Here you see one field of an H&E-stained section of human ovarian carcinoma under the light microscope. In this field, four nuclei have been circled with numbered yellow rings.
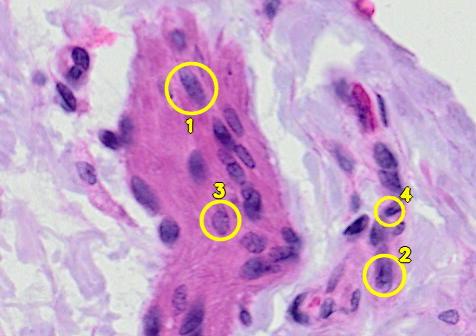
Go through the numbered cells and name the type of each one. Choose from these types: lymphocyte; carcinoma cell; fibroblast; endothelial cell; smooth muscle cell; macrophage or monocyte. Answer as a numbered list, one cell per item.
1. smooth muscle cell
2. endothelial cell
3. smooth muscle cell
4. endothelial cell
